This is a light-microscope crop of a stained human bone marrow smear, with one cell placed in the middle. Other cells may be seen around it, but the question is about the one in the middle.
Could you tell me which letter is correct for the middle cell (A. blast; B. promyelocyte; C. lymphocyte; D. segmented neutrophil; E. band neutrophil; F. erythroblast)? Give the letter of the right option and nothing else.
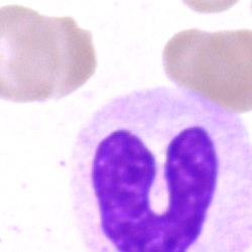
E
